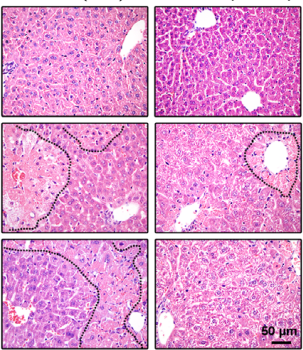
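Liver tissue stained pink and purple, with hepatocytes arranged in cords around scattered round vessel lumens. The hepatocytes are polygonal with pink cytoplasm and round central nuclei. In several fields, irregular zones outlined by dotted lines appear paler and more homogeneously pink, with fewer distinct nuclei and loss of the regular cord arrangement, consistent with necrosis. These zones lie next to vessels and are surrounded by better preserved hepatocytes. Other fields show intact tissue with regular cords and no such outlined areas.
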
